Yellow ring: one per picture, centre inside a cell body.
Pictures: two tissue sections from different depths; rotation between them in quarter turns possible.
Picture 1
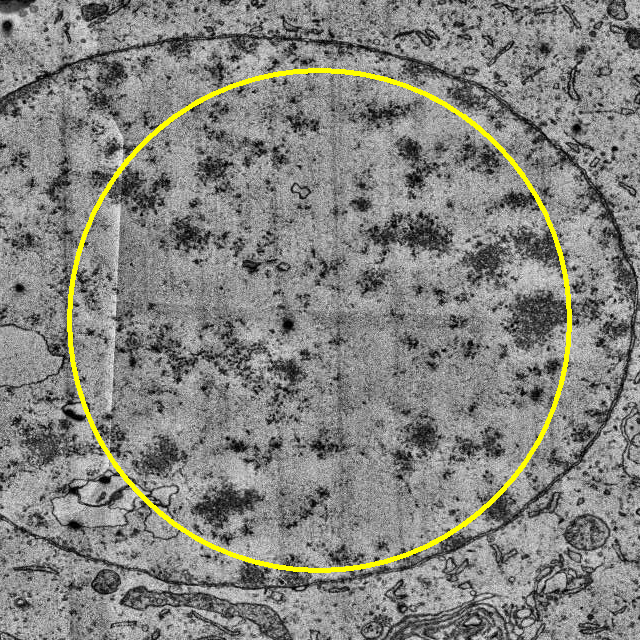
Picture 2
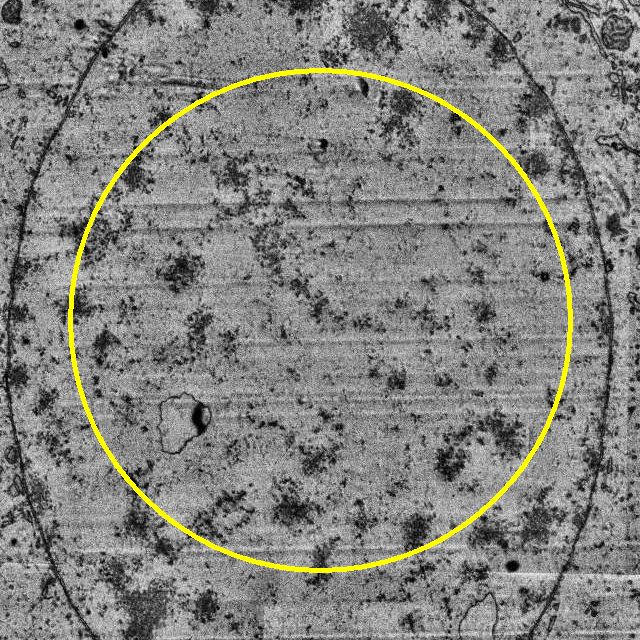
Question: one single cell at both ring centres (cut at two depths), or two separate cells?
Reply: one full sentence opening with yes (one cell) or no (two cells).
Yes, the two rings belong to one cell, not to two.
